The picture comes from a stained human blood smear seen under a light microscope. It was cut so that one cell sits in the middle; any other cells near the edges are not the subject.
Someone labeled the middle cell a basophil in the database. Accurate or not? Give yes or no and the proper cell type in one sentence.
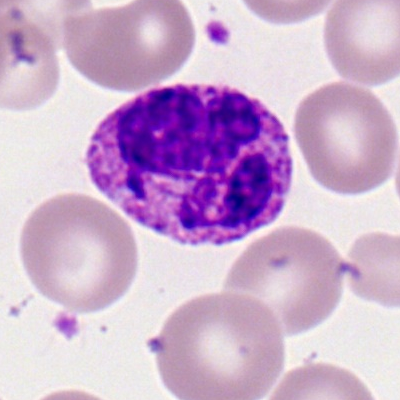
Yes, in the centre of this field sits a basophil.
